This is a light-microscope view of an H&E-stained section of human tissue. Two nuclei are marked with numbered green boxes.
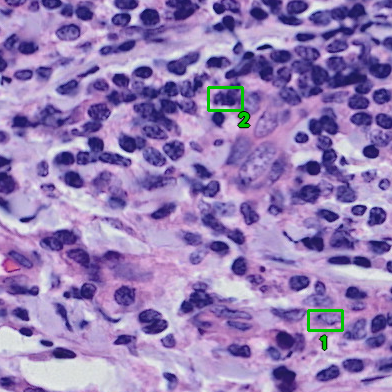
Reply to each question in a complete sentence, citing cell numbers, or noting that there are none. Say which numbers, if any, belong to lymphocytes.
Of the marked cells, the one numbered 2 is a lymphocyte and the rest are not.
